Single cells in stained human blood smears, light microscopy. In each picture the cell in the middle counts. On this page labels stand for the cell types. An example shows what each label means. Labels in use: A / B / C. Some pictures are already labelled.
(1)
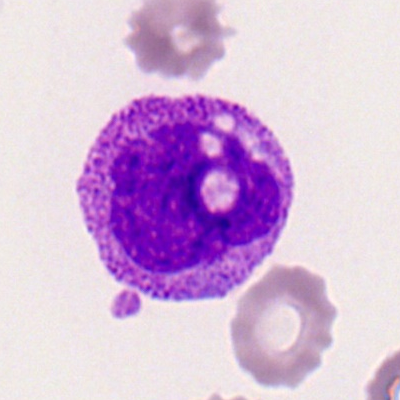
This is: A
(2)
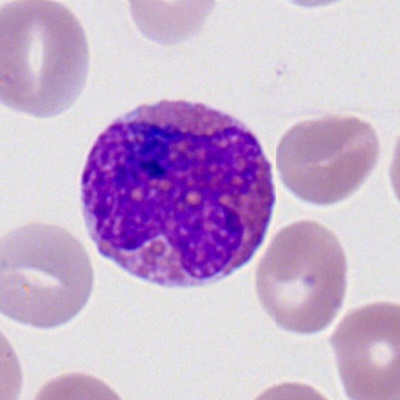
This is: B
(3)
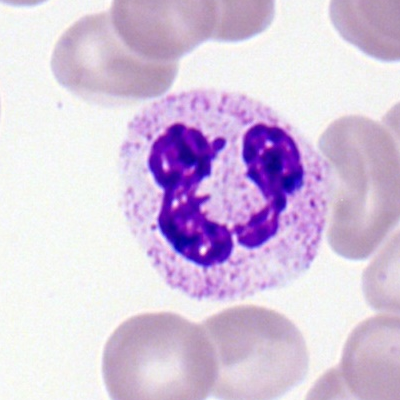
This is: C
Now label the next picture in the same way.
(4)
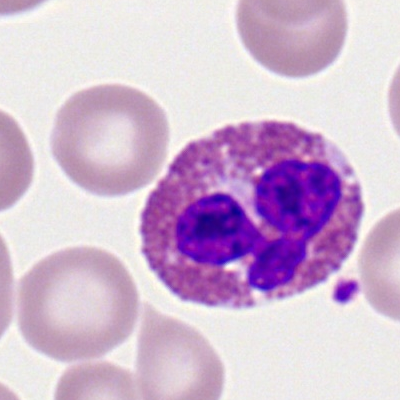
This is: B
